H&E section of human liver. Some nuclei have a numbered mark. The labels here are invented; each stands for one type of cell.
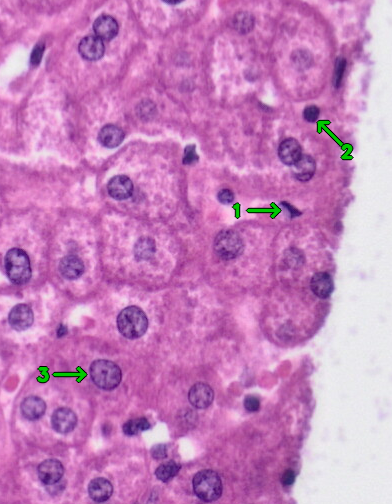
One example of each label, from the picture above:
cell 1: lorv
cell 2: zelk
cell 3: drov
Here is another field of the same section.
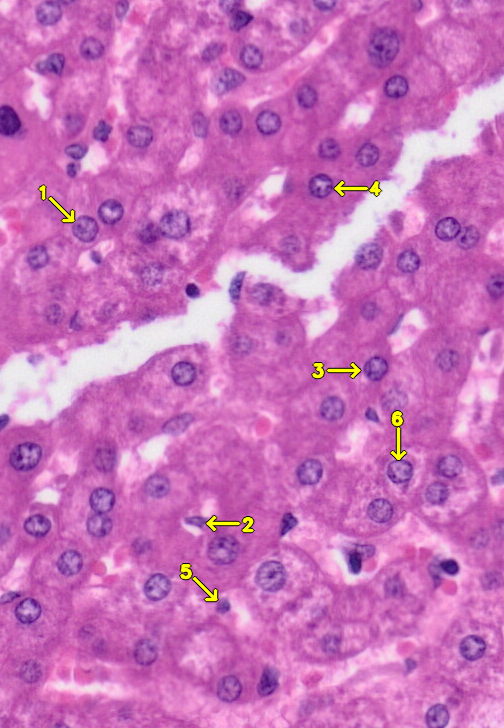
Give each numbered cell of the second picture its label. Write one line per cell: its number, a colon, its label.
1: drov
2: lorv
3: drov
4: drov
5: zelk
6: drov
